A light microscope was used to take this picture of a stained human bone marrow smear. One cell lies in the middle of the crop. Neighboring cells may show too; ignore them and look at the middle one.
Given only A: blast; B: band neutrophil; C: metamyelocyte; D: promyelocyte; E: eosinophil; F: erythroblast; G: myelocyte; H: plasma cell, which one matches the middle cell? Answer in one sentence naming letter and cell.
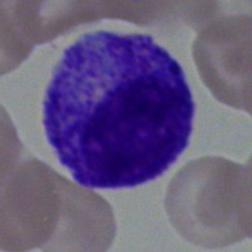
The cell shown centrally is a promyelocyte; option D is the correct option.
